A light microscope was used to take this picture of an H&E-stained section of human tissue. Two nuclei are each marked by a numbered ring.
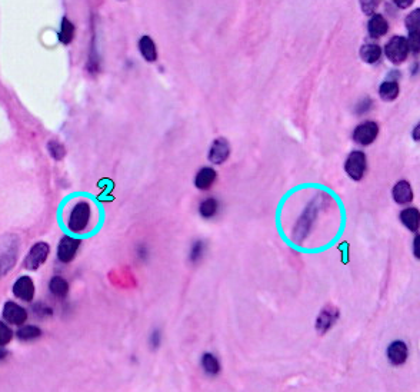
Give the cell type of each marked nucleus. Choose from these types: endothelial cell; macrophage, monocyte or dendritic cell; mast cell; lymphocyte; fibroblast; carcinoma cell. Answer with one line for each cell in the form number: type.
1: fibroblast
2: lymphocyte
